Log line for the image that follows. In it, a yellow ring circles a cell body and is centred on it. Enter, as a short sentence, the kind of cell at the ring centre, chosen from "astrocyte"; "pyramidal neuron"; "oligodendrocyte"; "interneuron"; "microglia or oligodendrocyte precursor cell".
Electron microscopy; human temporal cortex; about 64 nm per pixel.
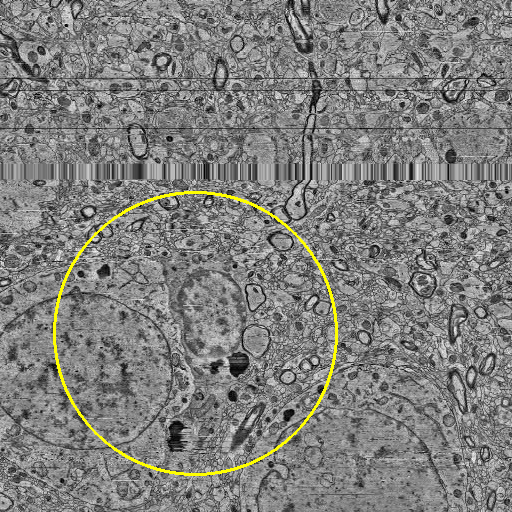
The ring centre is occupied by an oligodendrocyte.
